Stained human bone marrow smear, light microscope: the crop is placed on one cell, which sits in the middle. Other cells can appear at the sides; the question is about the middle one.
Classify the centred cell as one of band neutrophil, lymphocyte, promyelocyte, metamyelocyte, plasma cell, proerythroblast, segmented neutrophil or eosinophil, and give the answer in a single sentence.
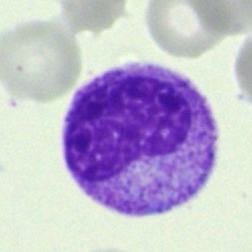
The centered cell in this crop is a metamyelocyte.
